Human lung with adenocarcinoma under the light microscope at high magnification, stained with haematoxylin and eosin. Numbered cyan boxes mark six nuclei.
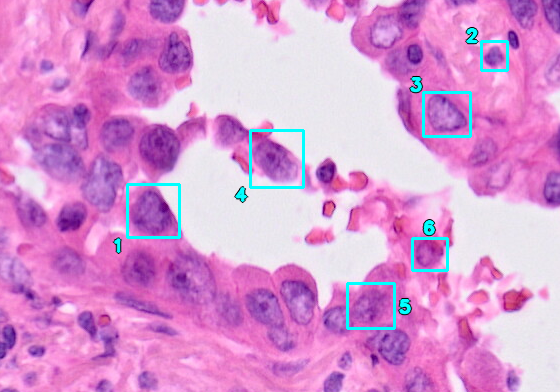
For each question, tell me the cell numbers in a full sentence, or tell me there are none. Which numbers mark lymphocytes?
The cell labelled 2 is a lymphocyte, while the remaining numbered cells are not.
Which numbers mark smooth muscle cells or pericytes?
Answering directly: no smooth muscle cells or pericytes are among the numbered cells.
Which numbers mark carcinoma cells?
When it comes to cells 1, 3, 4 and 5, they are carcinoma cells.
